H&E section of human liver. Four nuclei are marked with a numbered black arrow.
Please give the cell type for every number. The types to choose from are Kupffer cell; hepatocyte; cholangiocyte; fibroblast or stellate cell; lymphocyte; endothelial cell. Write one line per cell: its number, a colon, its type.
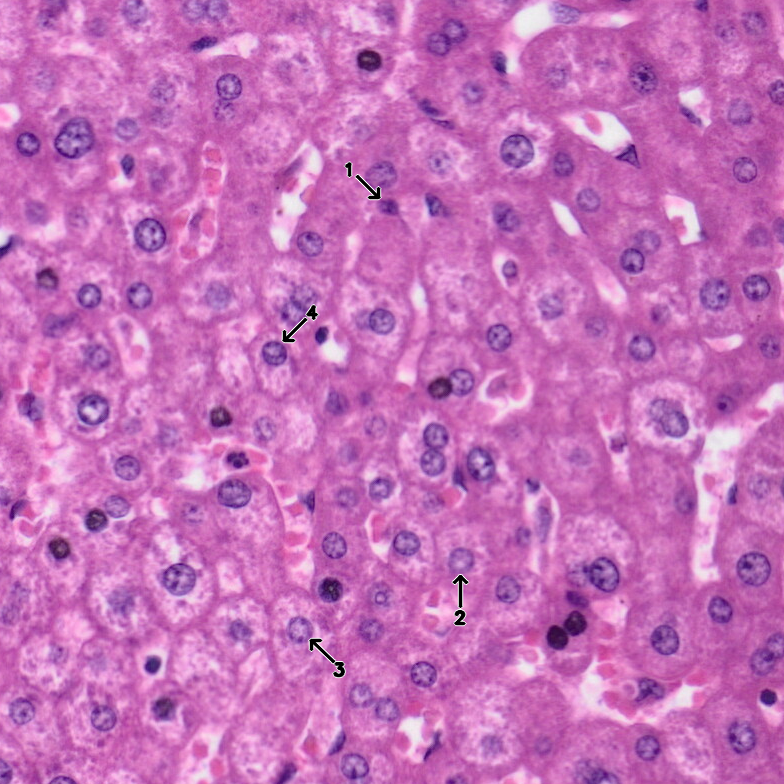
1: fibroblast or stellate cell
2: hepatocyte
3: hepatocyte
4: hepatocyte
